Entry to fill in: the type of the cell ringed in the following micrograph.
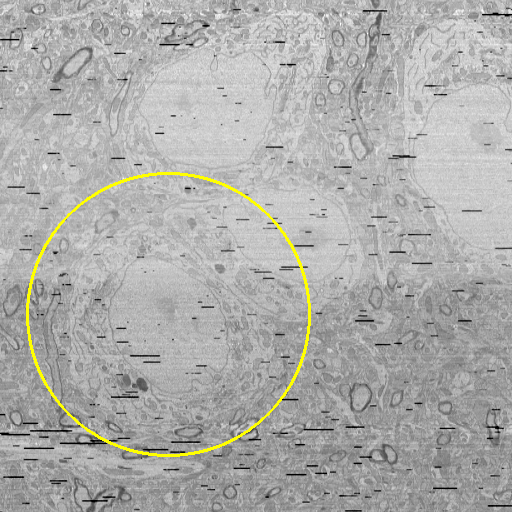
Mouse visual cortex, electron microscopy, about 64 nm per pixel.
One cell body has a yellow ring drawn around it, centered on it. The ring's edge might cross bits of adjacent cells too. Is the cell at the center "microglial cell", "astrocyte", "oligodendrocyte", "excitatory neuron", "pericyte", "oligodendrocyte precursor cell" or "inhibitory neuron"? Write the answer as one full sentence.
This entry names an inhibitory neuron as the cell whose body lies at the ring's center.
